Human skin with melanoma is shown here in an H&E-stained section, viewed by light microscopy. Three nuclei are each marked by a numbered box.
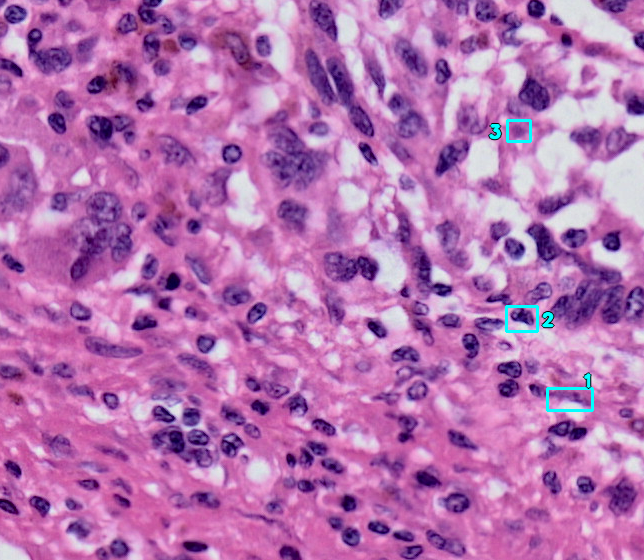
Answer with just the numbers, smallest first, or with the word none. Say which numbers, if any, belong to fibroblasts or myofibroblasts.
1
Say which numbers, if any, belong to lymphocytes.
2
